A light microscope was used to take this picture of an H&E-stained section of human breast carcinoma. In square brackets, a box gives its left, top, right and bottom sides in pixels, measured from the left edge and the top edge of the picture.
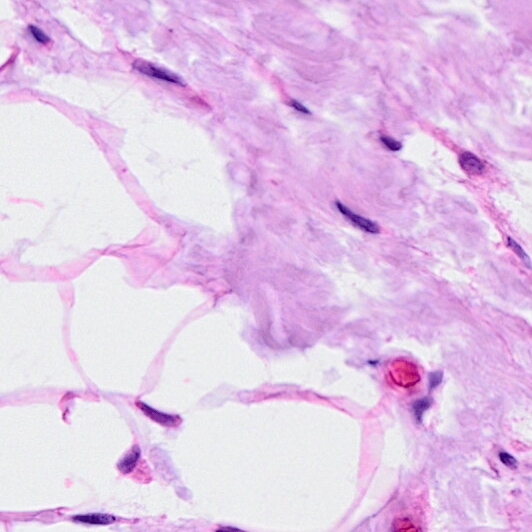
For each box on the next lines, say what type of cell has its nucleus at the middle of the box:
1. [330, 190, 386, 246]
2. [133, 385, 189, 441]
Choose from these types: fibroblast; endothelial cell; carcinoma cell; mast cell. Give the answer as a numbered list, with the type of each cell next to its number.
1. fibroblast
2. endothelial cell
